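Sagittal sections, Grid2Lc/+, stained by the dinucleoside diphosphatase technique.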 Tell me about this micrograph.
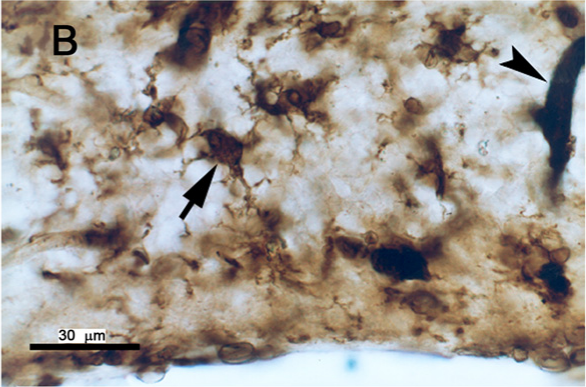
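A mottled brown field of cerebellar tissue with many darkly stained cells scattered singly through it. Their cell bodies are large and rounded, and their processes are short and thick rather than long and fine. Some of the stained profiles are irregular, blotchy masses. At the right edge a thick, dark, smooth elongated structure runs obliquely; this is a blood vessel. The background is busier and more stained than in a quiet tissue. Cells with swollen bodies and stout, stubby processes like these are activated microglial cells.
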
